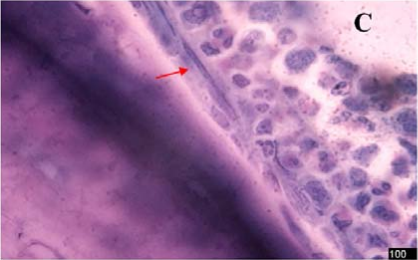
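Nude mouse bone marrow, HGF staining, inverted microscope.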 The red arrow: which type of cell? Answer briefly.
Fibroblast-like cells.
